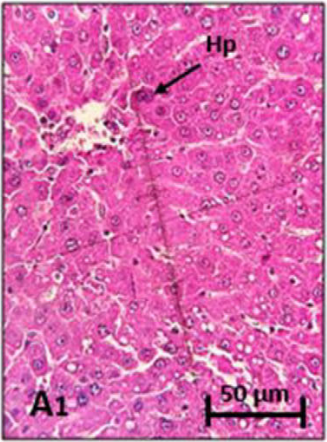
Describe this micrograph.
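This is liver tissue made up of hepatocytes. The cells are large and polygonal, with abundant pink cytoplasm and central, round nuclei that have a visible nucleolus. They are arranged in plates or cords separated by narrow pale channels, which converge toward a small vessel near the upper left of the field. Cell borders are fairly distinct, and a few cells appear to contain two nuclei.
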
